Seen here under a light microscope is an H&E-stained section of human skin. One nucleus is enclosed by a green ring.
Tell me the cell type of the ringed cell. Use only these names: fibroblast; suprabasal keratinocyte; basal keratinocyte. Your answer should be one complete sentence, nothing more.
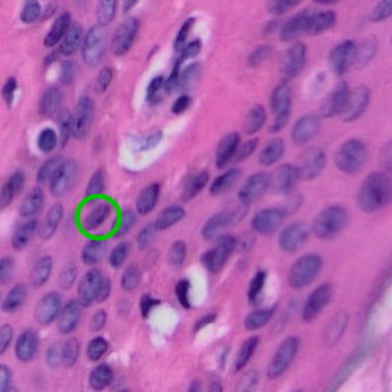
It is as a basal keratinocyte that the ringed cell is recorded.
